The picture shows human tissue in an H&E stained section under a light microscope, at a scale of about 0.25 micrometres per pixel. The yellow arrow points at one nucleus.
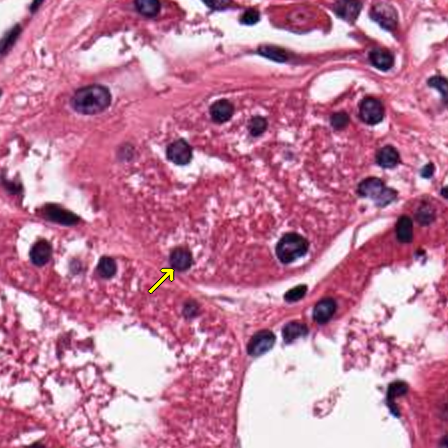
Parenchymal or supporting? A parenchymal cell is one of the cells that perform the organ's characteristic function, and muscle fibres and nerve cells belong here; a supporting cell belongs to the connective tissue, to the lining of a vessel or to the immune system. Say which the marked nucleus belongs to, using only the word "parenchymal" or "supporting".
parenchymal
